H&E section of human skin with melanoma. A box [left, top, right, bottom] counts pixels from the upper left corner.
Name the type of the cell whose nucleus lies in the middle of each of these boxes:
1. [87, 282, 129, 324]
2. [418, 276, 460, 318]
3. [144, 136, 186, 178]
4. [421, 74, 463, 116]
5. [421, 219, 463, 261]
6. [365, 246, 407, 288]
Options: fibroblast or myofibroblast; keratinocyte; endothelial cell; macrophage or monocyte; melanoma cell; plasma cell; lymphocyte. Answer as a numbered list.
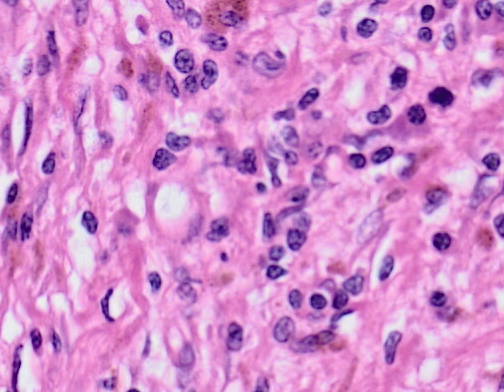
1. fibroblast or myofibroblast
2. plasma cell
3. lymphocyte
4. plasma cell
5. plasma cell
6. lymphocyte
